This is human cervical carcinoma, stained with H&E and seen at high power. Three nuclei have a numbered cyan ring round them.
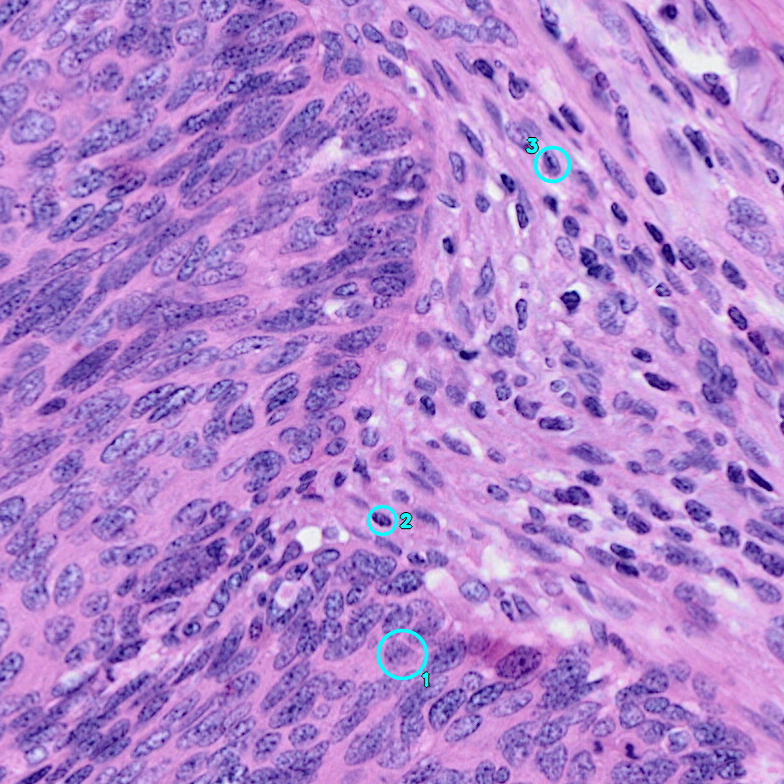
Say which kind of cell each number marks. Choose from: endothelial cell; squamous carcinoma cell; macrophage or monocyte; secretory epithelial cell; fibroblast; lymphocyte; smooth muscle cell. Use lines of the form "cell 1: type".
cell 1: squamous carcinoma cell
cell 2: lymphocyte
cell 3: lymphocyte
